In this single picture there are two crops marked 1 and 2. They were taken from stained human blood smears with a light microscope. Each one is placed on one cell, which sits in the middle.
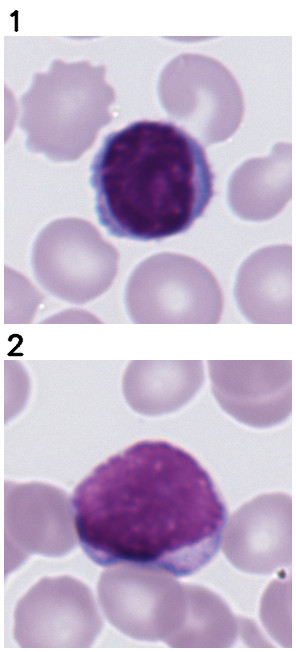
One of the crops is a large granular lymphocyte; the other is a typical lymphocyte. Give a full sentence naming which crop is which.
In crop 2 the central cell is a large granular lymphocyte, and in crop 1 it is a typical lymphocyte.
